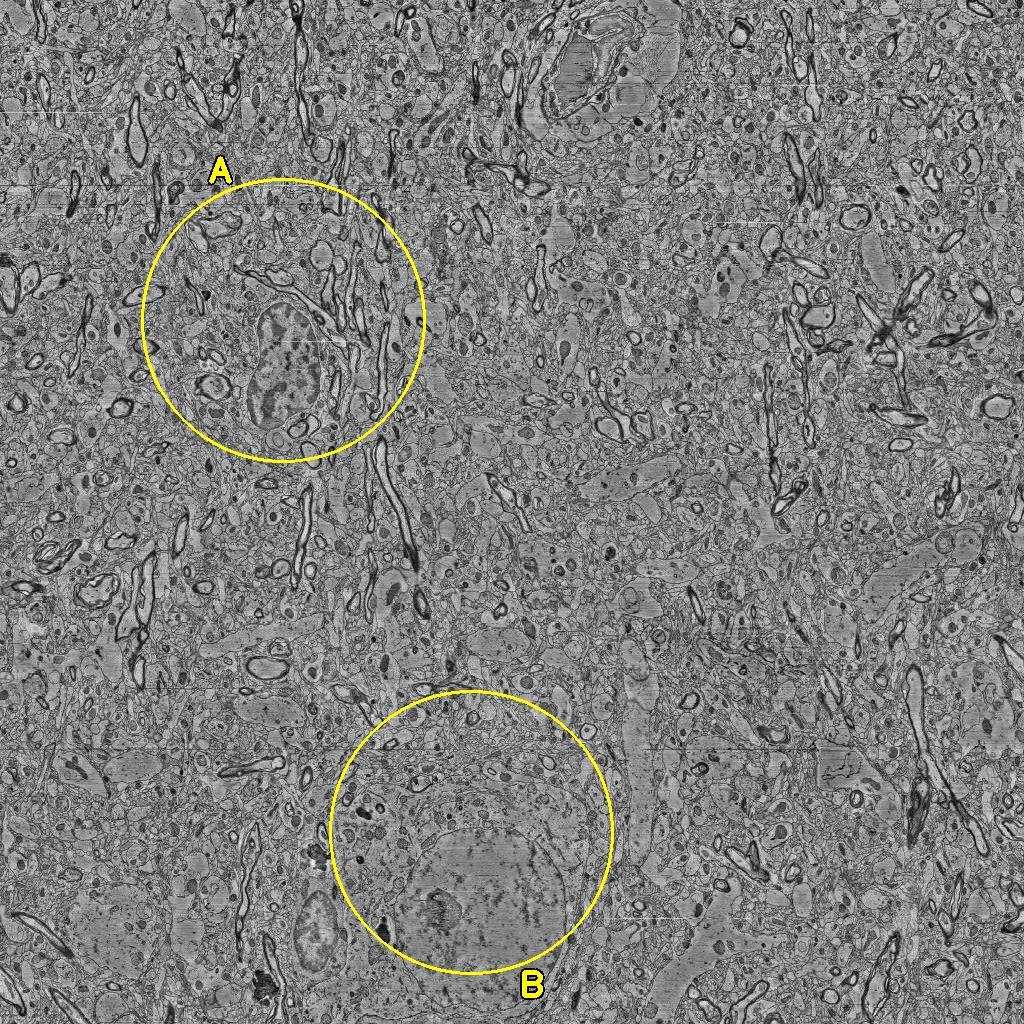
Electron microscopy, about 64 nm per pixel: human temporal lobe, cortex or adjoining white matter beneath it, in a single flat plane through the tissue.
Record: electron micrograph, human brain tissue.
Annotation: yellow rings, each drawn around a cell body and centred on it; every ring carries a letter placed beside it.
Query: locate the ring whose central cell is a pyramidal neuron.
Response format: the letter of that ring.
B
